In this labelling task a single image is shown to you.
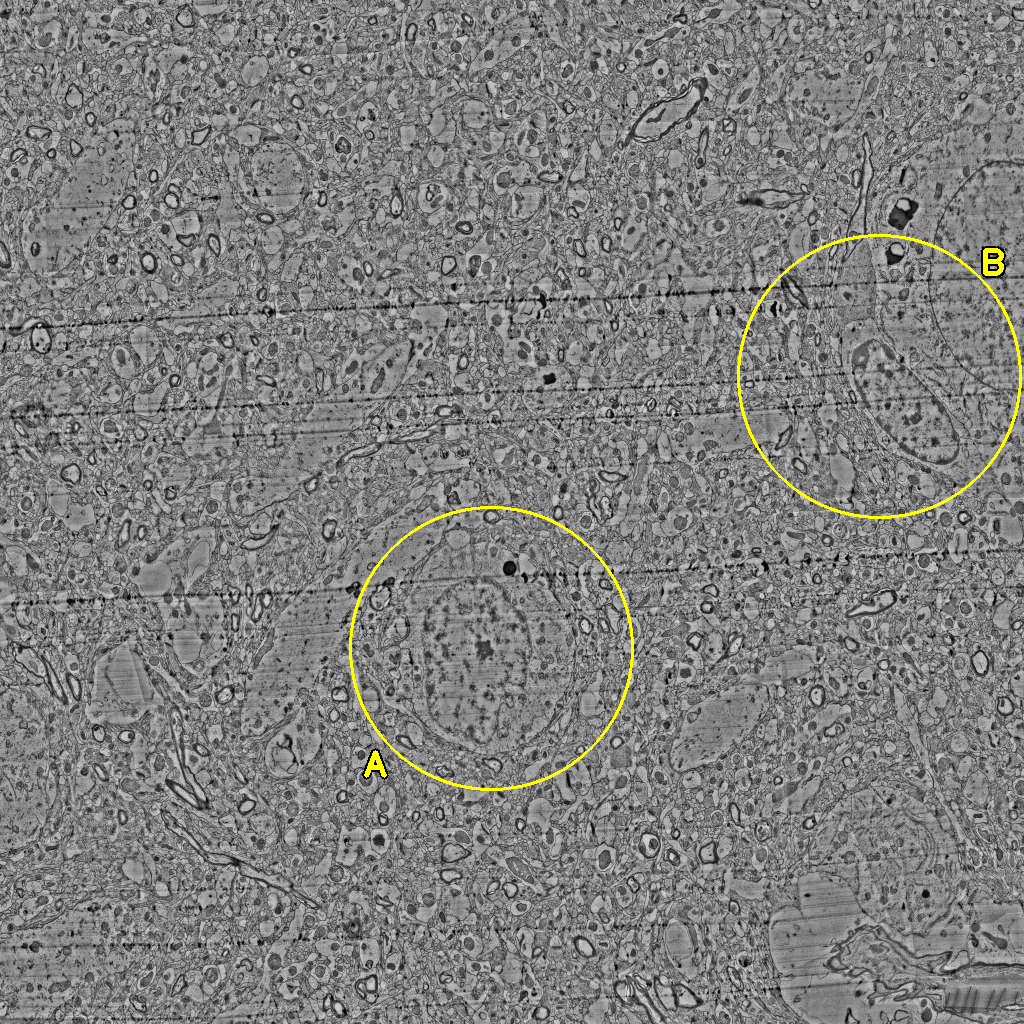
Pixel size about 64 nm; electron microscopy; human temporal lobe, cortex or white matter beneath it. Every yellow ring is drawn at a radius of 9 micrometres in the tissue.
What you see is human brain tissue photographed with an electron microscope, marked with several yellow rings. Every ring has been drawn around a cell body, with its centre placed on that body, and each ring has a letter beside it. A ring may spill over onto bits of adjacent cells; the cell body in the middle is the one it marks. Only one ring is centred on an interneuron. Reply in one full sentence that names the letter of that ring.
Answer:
The ring centred on the cell asked for is the one marked A.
